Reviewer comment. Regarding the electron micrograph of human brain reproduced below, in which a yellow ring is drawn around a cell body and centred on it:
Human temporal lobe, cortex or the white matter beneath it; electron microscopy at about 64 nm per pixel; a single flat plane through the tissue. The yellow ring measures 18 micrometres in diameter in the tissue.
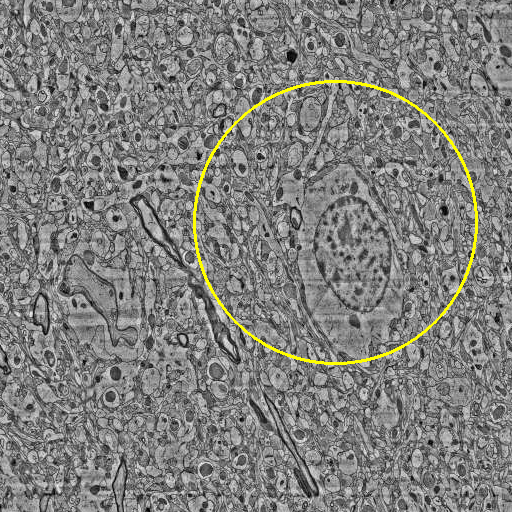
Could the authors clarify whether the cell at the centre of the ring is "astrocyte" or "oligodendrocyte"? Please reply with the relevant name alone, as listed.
astrocyte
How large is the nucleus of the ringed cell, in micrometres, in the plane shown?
The nucleus works out at approximately 7 by 5 micrometres in this plane.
